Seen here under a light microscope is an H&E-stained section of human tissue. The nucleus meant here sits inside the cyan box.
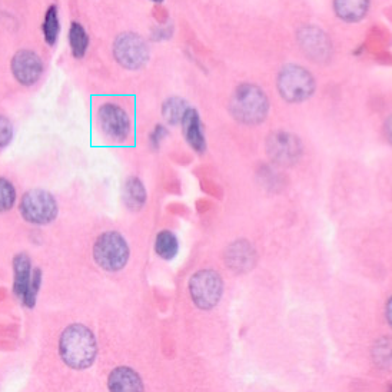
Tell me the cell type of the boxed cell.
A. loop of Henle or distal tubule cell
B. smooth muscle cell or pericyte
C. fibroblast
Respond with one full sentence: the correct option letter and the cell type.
Option A holds, since the boxed cell is a loop of Henle or distal tubule cell.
